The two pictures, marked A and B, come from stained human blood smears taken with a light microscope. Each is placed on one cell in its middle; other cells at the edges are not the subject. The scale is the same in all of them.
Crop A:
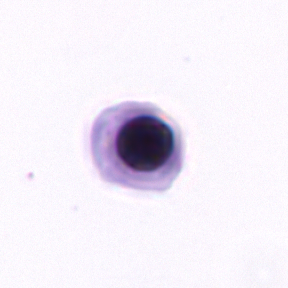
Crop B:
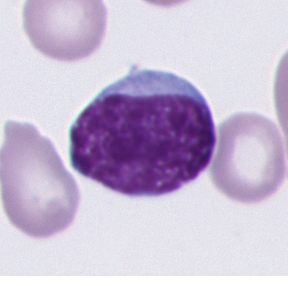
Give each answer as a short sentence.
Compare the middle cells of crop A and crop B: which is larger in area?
Crop B holds the larger cell; it covers about 2.5 times the area of the cell in crop A.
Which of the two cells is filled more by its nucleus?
Of the two, the nucleus in crop B makes up the greater part of its cell.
